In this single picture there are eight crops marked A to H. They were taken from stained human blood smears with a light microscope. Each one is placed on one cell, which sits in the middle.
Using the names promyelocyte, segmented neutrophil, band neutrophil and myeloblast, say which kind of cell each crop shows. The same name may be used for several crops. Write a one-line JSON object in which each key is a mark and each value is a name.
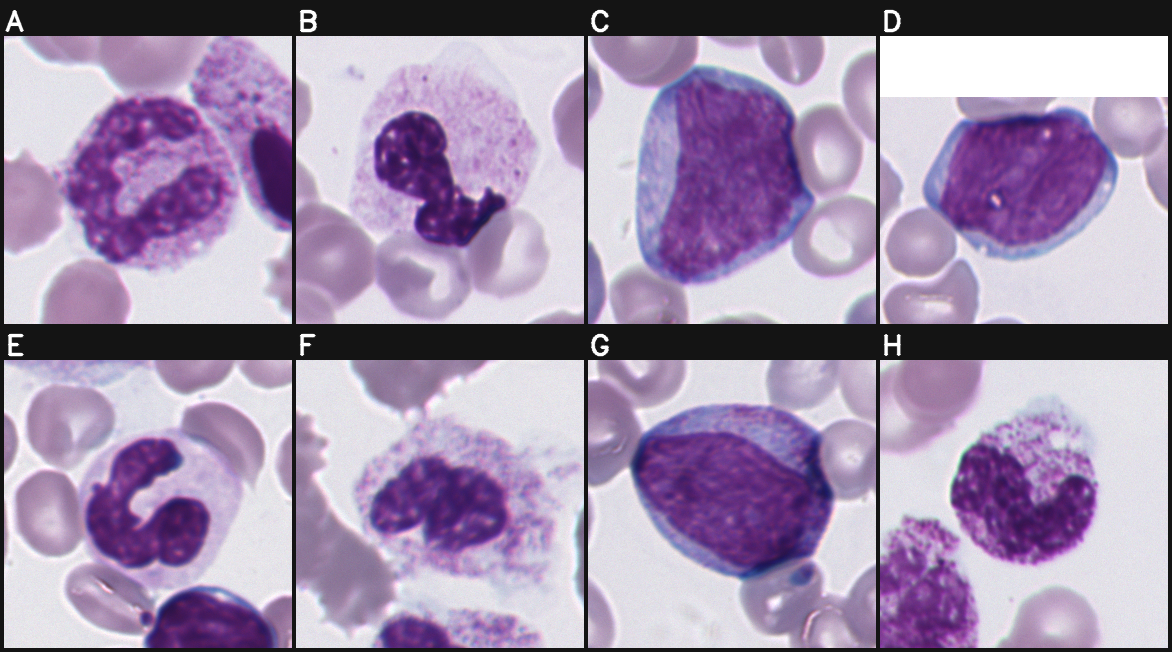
{"A": "segmented neutrophil", "B": "segmented neutrophil", "C": "promyelocyte", "D": "myeloblast", "E": "band neutrophil", "F": "segmented neutrophil", "G": "promyelocyte", "H": "band neutrophil"}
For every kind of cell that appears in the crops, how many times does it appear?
segmented neutrophil: 3
promyelocyte: 2
band neutrophil: 2
myeloblast: 1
